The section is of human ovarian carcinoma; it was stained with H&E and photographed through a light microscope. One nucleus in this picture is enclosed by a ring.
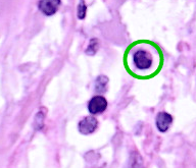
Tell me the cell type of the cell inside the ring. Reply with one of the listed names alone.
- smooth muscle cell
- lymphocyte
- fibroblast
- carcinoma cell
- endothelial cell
lymphocyte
